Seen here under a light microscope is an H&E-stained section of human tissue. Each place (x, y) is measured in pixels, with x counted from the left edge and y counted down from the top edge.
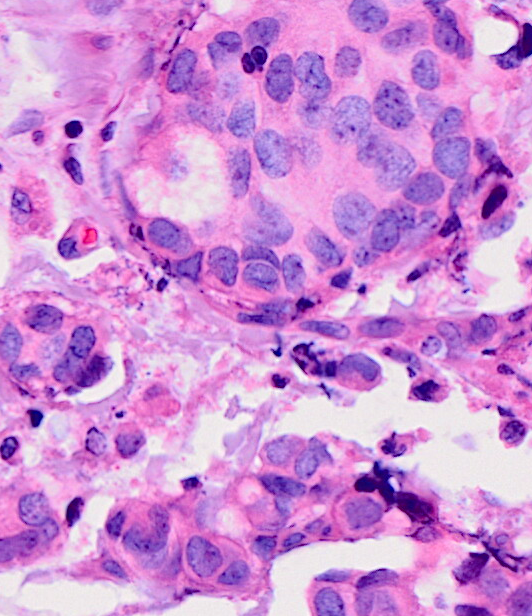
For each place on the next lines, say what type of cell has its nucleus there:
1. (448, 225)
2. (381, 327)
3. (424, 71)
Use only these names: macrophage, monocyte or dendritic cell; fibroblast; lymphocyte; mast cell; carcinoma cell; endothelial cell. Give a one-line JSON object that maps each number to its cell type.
{"1": "carcinoma cell", "2": "endothelial cell", "3": "carcinoma cell"}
